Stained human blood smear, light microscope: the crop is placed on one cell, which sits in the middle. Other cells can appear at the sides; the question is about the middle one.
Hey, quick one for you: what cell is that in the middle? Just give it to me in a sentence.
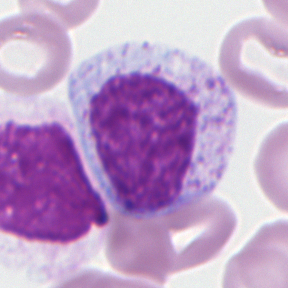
Centrally within this crop lies a myelocyte.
